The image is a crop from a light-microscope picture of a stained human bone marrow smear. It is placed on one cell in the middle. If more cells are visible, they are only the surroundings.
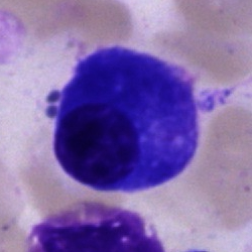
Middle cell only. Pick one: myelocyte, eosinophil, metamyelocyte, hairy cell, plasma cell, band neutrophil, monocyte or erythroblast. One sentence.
The cell marked by its central position in the crop is a plasma cell.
